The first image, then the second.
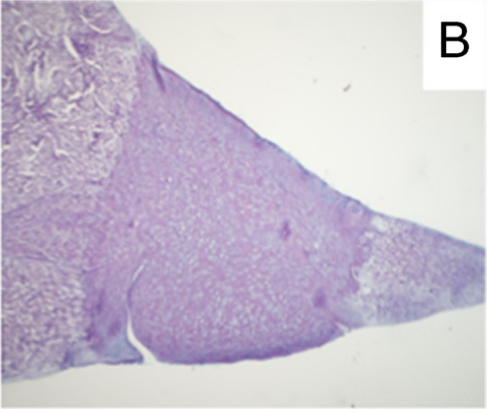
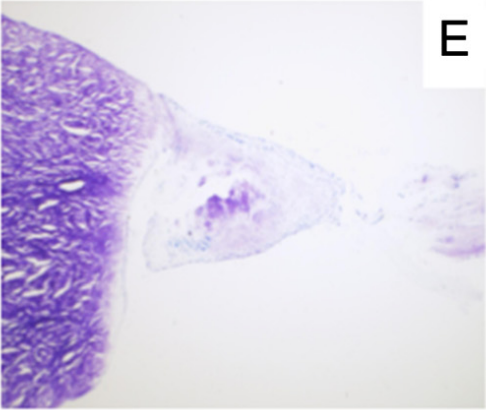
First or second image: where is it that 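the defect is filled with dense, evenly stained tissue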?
The first image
